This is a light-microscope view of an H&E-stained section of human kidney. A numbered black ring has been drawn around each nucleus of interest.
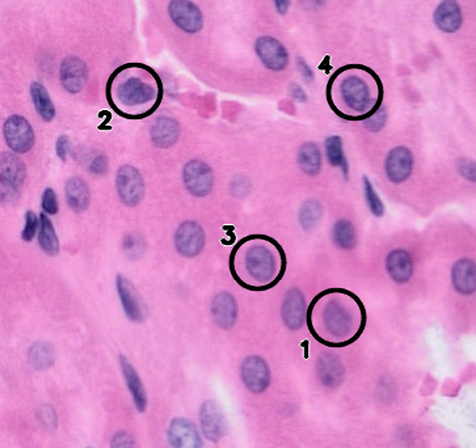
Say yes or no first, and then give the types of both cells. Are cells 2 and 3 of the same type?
No, cell 2 is an endothelial cell and cell 3 is a proximal tubule cell.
